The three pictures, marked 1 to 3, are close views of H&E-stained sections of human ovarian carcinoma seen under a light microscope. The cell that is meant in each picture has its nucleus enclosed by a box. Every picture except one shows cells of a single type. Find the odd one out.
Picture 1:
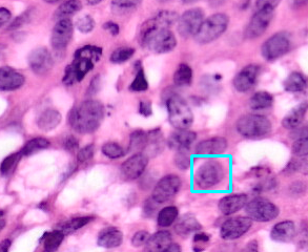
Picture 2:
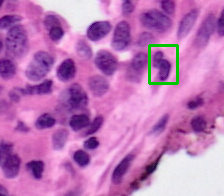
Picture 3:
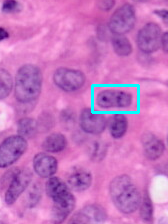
1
